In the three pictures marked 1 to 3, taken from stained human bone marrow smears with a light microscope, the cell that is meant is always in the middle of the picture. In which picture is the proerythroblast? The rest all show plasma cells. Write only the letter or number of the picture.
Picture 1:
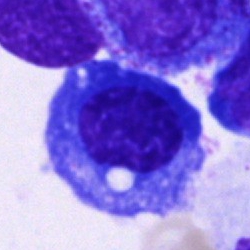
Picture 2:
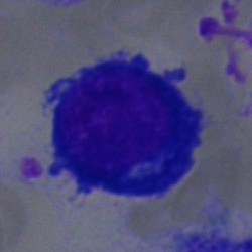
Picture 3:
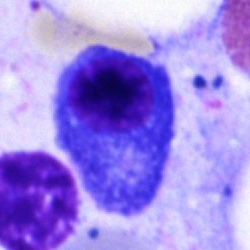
2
